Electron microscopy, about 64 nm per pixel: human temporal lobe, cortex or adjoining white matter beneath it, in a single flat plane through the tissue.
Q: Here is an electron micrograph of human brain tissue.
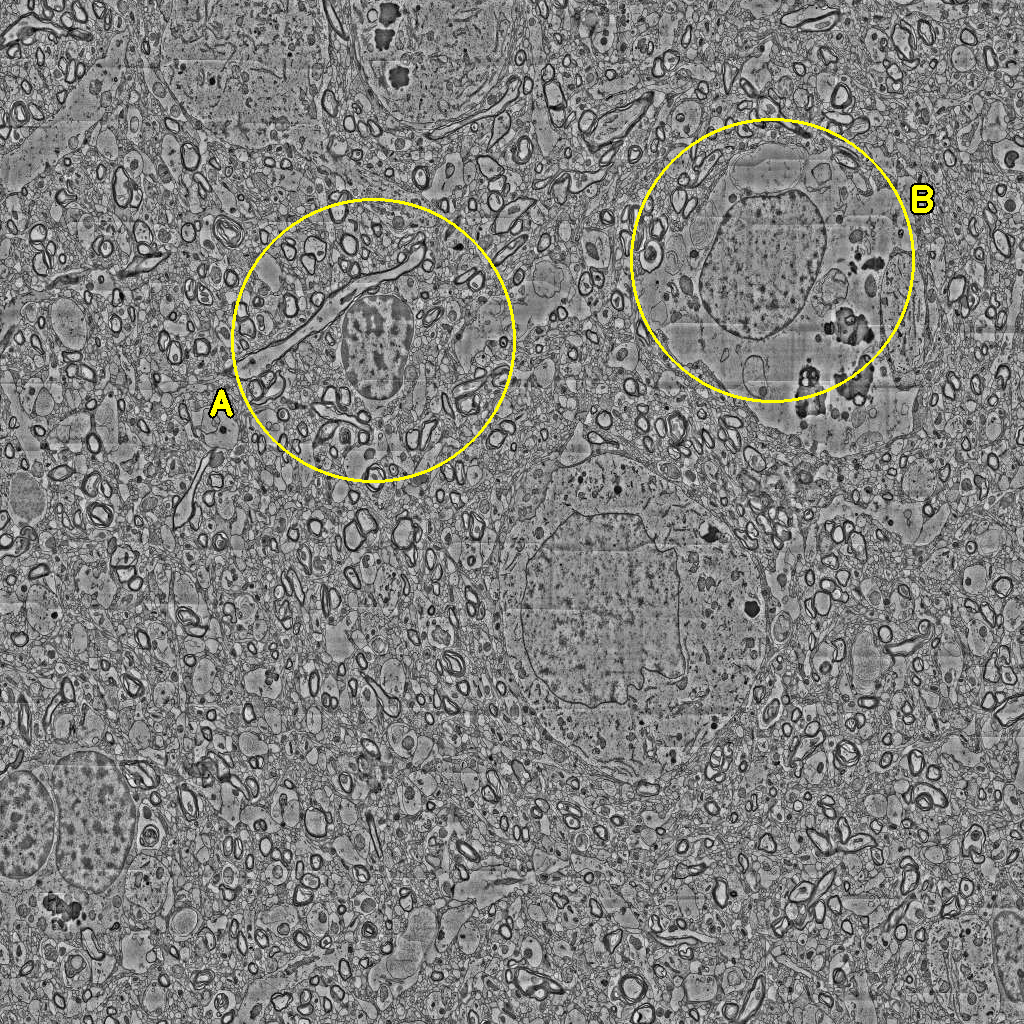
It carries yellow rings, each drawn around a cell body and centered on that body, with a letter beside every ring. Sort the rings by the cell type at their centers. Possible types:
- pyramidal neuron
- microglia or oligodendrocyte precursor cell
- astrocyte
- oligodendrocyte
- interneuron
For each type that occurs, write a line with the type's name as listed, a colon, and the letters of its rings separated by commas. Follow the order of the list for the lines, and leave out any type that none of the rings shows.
microglia or oligodendrocyte precursor cell: A
astrocyte: B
